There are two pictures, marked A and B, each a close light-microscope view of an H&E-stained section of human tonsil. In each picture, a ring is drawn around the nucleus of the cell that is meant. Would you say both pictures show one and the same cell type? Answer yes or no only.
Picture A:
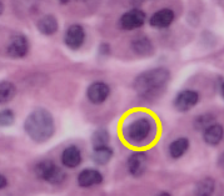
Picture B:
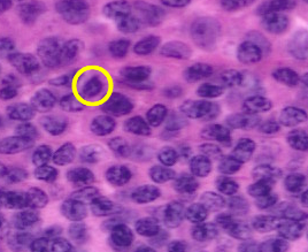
yes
